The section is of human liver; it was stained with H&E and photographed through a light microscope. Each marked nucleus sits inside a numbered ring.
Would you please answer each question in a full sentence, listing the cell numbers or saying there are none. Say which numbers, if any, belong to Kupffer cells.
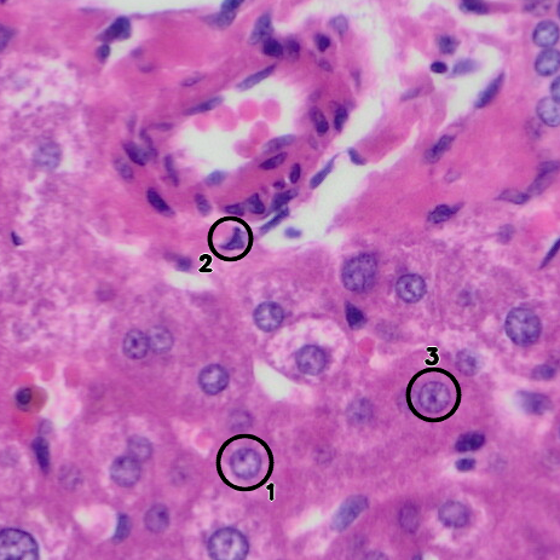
The correct answer is that none of the numbered cells are Kupffer cells.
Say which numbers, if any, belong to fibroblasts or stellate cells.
Cell 2 is a fibroblast or stellate cell; no further numbered cell is.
